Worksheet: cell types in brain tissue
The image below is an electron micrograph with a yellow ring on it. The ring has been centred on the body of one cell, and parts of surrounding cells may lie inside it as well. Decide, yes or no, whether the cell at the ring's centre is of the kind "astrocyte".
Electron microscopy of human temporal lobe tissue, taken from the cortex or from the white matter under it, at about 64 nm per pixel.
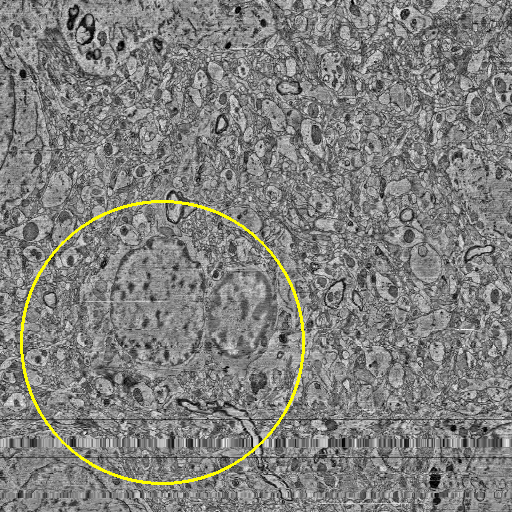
yes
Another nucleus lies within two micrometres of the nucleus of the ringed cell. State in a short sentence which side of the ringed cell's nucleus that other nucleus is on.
The other nucleus sits to the right of it.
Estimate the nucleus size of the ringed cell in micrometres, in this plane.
Roughly 9 by 7 micrometres in this plane, for the nucleus of the ringed cell.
